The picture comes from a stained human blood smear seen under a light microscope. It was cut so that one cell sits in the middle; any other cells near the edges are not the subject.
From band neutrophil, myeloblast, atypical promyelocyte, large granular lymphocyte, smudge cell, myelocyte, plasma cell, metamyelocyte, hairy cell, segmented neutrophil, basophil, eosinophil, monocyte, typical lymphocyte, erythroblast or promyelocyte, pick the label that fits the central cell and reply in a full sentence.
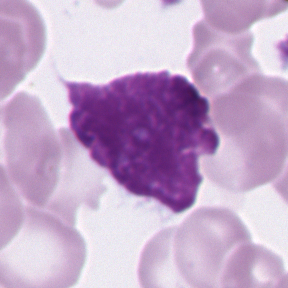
Framed in the middle of the crop is a smudge cell.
